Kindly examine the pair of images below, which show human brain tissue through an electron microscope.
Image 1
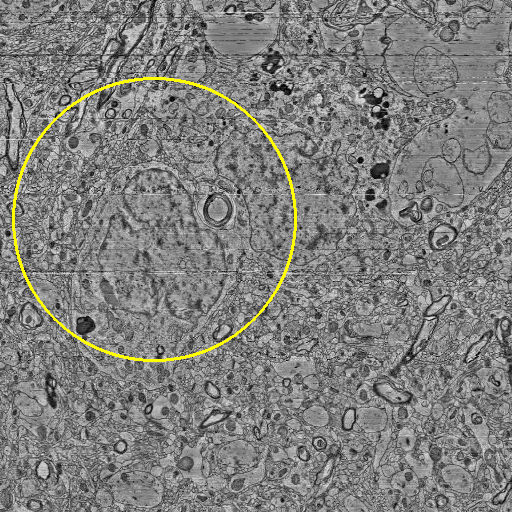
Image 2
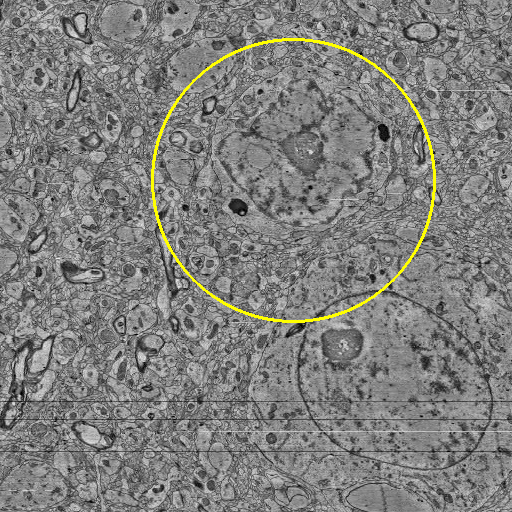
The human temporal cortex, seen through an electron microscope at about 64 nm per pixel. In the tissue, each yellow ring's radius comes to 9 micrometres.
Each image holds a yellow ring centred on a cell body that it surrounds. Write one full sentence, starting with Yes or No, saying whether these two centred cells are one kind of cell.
Yes, both cells at the centres of the yellow rings belong to one kind of cell.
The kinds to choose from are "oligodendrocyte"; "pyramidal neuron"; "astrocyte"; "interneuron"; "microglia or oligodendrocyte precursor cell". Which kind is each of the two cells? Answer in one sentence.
Each of the two rings is centred on an interneuron.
